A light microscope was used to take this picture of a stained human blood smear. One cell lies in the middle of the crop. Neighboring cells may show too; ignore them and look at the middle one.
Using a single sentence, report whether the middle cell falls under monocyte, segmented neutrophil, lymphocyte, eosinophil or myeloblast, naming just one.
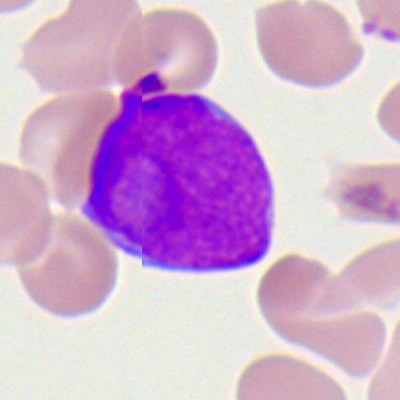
Here the centrally located cell is a myeloblast.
